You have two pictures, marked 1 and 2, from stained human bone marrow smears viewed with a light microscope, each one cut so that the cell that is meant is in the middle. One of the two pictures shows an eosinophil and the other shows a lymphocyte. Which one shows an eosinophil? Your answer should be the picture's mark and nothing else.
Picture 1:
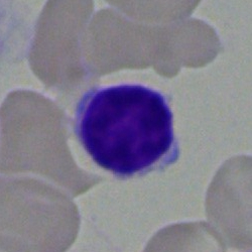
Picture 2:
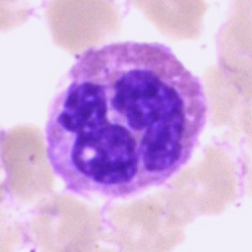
2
